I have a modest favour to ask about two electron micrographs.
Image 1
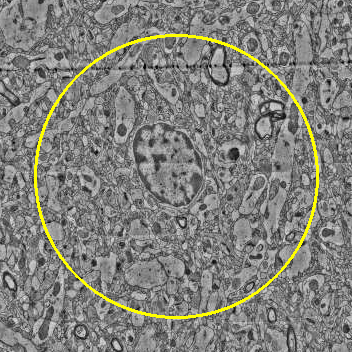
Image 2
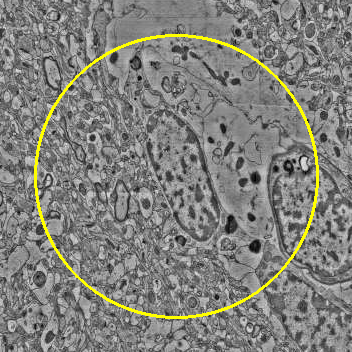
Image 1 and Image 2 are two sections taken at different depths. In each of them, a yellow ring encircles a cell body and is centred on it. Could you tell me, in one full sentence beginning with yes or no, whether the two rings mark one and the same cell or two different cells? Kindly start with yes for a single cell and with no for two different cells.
No, in this micrograph the two rings mark two different cells.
